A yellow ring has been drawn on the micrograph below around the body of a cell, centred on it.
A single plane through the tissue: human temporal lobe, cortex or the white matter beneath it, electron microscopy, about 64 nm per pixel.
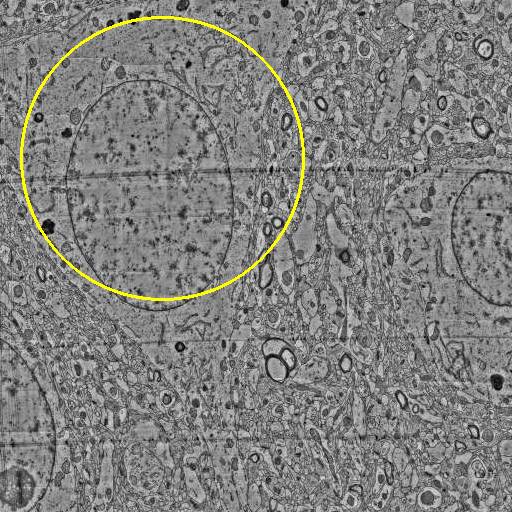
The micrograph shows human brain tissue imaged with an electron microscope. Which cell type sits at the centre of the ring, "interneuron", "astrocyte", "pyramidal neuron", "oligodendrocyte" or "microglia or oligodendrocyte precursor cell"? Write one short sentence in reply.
The cell sitting at the centre of the ring is a pyramidal neuron.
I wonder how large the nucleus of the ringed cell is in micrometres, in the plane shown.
In this plane, the nucleus of the cell at the centre of the ring measures about 15 by 11 micrometres.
